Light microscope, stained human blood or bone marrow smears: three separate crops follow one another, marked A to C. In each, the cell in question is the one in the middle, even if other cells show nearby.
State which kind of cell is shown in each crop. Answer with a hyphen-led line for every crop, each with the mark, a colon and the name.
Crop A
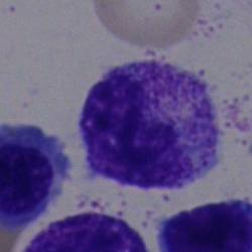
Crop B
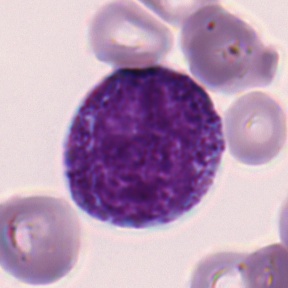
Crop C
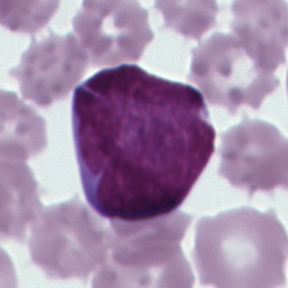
- A: metamyelocyte
- B: myelocyte
- C: blast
